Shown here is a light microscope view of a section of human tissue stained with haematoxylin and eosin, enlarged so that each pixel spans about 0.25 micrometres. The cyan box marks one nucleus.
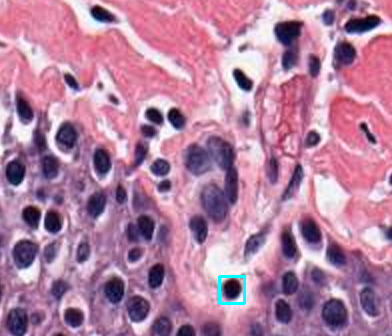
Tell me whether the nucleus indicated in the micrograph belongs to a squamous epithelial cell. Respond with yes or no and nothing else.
no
